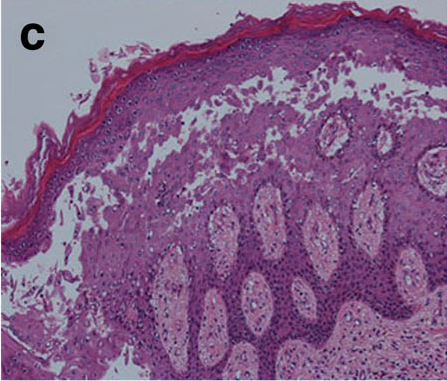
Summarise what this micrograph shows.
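This is stratified squamous epidermis in which the keratinocytes of the spinous layer have come apart from one another. Clefts open above the basal layer, and within them lie rounded keratinocytes that have lost their attachments, these being acantholytic cells. At the top a pink compact cornified layer covers the epidermis, and below, the rete ridges reach down around rounded dermal papillae with small vessels.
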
